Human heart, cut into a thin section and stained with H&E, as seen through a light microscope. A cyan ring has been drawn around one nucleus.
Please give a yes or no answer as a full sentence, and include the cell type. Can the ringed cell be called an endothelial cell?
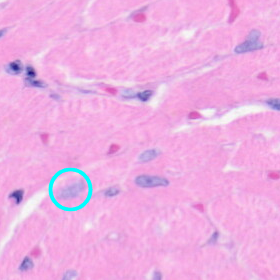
No, it is a cardiomyocyte, not an endothelial cell, that the ringed cell represents.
